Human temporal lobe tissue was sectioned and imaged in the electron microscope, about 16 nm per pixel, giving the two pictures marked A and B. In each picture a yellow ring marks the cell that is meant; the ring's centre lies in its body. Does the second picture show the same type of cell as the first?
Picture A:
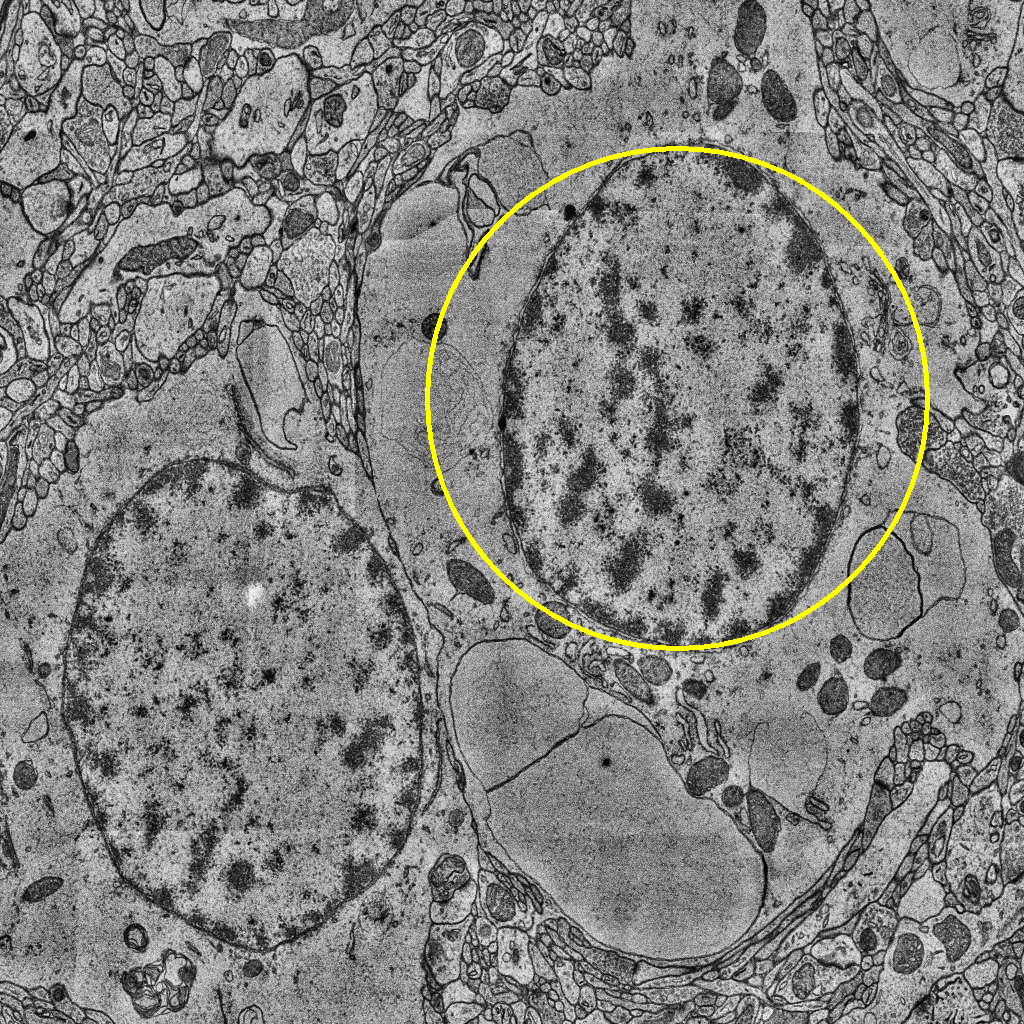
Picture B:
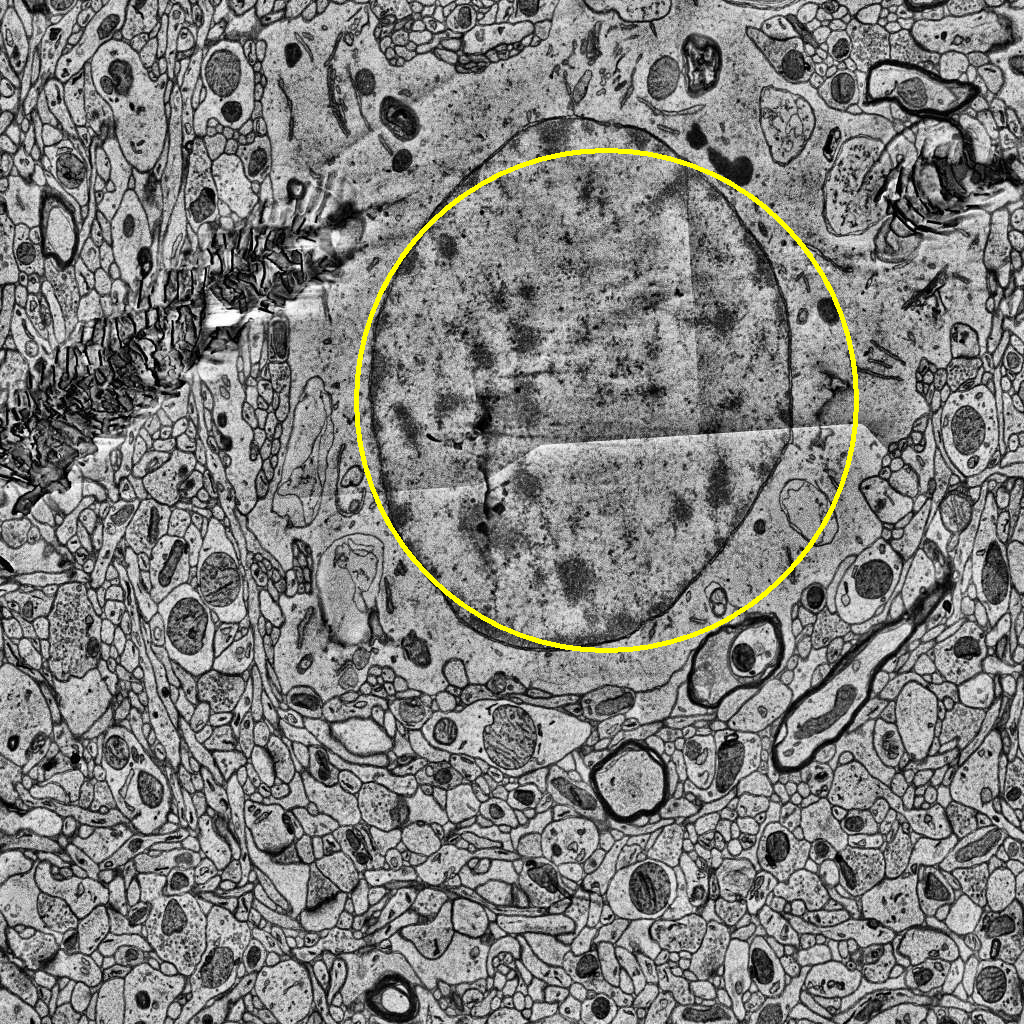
Yes, the two pictures both show astrocytes.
